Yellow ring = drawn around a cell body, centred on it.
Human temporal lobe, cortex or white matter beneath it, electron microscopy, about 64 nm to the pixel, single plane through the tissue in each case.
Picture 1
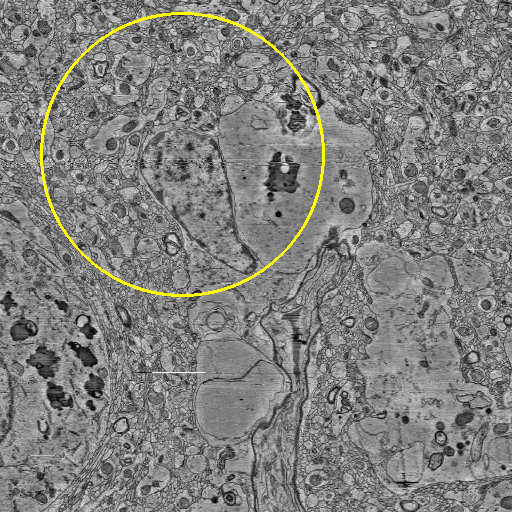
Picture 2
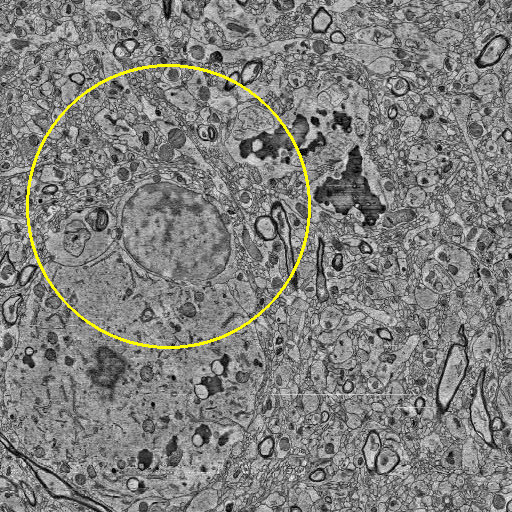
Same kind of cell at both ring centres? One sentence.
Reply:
No, they are two kinds of cell.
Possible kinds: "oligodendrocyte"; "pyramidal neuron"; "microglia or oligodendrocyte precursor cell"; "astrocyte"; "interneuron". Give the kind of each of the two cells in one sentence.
The cell in the second picture is an oligodendrocyte, and that in the first is a microglial cell or oligodendrocyte precursor cell.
